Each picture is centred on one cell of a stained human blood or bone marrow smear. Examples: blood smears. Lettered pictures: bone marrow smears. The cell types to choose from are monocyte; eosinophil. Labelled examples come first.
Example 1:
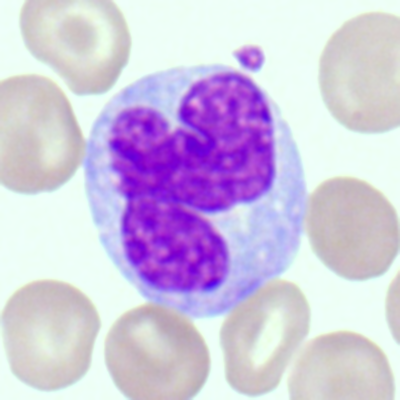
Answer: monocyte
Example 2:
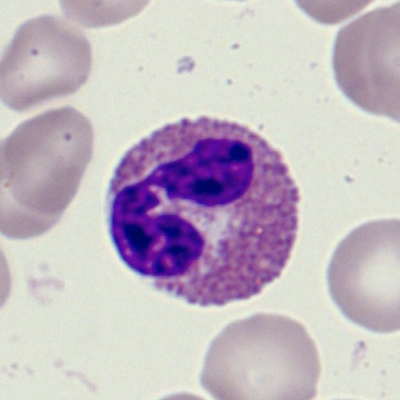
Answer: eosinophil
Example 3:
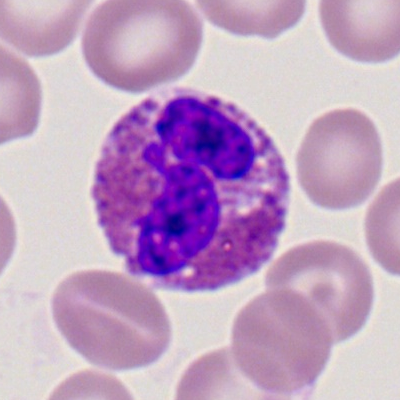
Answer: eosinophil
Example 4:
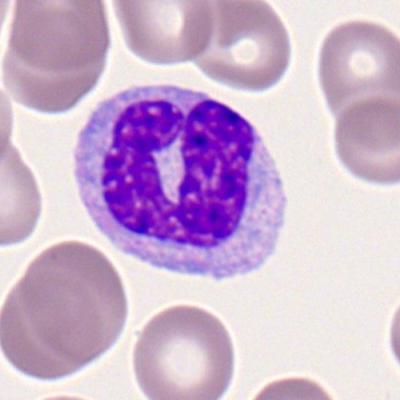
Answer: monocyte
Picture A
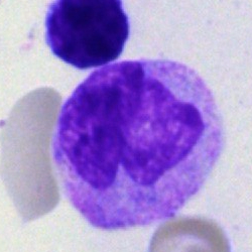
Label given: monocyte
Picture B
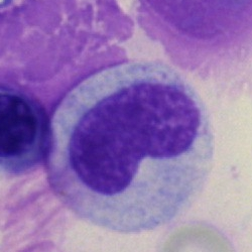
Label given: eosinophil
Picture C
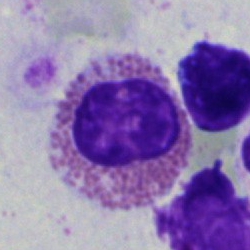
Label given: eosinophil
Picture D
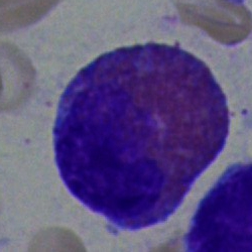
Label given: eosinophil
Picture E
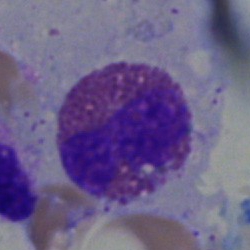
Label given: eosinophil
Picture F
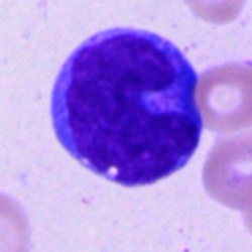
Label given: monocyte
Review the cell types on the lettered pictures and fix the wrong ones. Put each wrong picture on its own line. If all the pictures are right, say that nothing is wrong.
B: change eosinophil to monocyte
